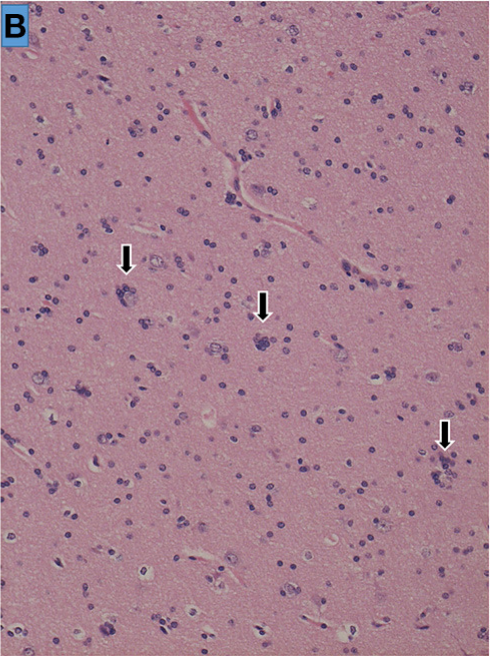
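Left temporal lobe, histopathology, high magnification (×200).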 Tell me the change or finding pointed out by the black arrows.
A: Satellite oligogenesis.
